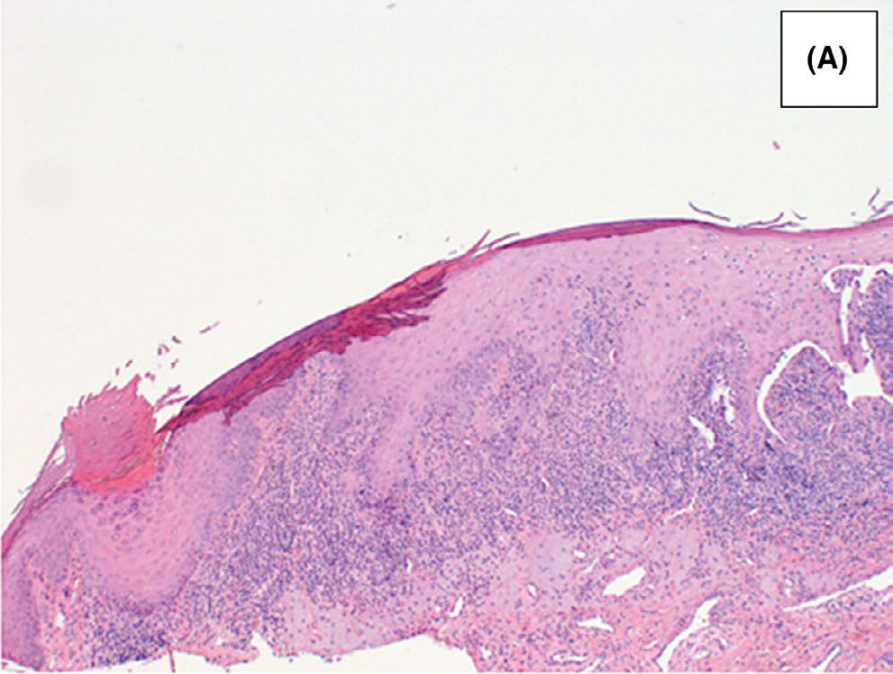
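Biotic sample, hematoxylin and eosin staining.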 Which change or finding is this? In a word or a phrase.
Hyperkeratosis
